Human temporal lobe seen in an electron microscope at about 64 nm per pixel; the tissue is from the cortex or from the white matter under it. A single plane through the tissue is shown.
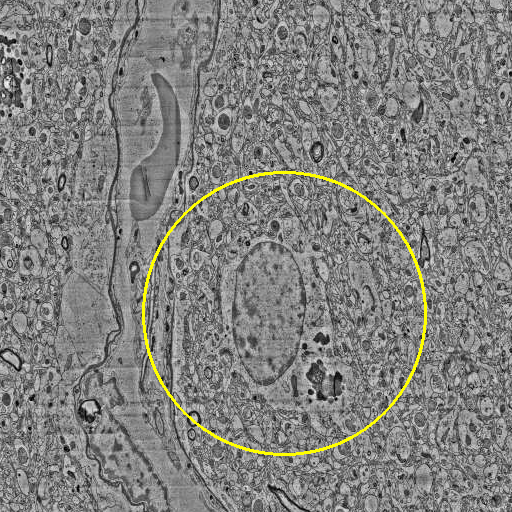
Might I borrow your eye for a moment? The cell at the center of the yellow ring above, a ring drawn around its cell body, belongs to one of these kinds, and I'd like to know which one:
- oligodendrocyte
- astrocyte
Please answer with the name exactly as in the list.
astrocyte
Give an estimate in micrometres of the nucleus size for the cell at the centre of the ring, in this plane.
About 9 by 5 micrometers in this plane, so the nucleus is clearly longer than it is wide.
